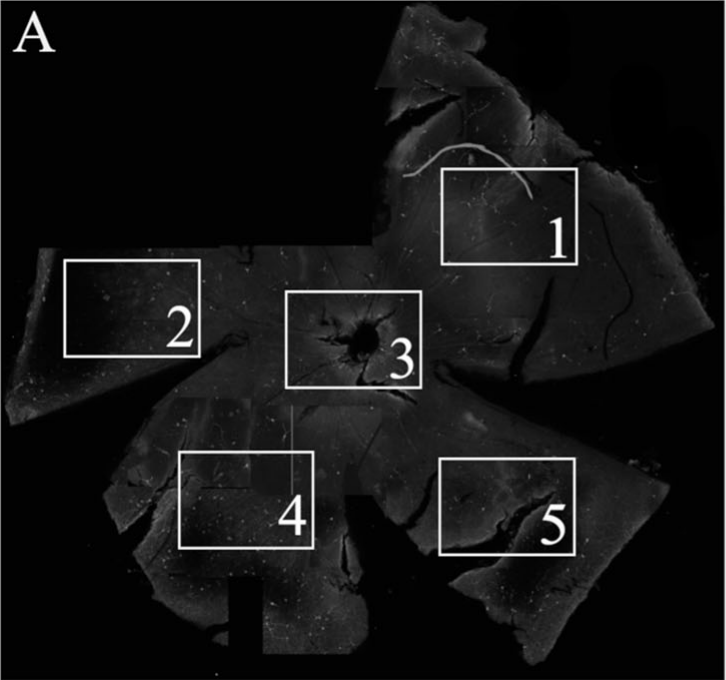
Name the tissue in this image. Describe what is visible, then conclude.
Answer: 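Retinas. A flattened round tissue cut into radial petals. A dark central disc from which vessels radiate outward.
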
